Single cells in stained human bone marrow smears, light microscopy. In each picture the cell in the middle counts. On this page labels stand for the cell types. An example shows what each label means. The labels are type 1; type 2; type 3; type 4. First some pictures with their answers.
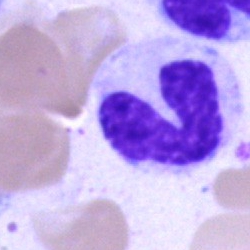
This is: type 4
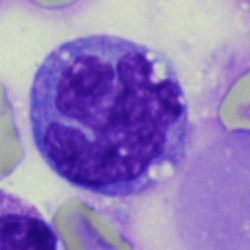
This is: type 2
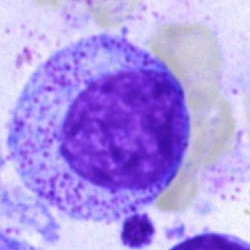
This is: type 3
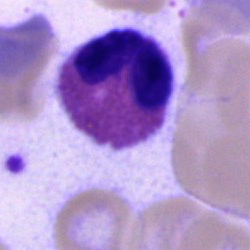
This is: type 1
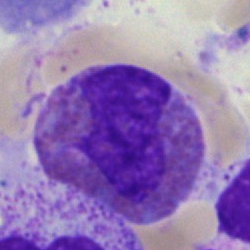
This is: type 1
